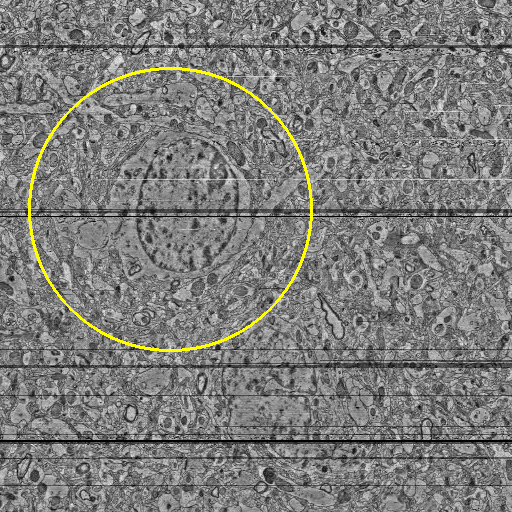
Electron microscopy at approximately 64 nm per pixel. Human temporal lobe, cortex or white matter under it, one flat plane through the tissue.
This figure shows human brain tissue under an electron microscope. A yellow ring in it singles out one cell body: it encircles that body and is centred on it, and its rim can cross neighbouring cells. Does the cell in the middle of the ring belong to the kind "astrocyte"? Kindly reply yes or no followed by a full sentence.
Yes, the kind asked about is right for the cell centred in the figure's ring.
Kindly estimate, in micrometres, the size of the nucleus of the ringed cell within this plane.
The ringed cell's nucleus is about 9 micrometres long and 6 micrometres wide in this plane.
